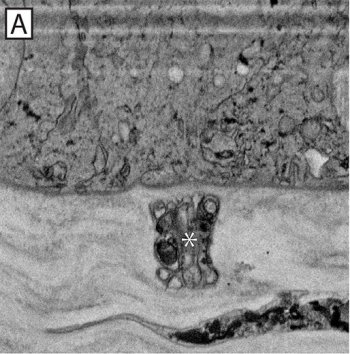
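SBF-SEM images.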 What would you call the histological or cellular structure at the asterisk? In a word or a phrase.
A: nerve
